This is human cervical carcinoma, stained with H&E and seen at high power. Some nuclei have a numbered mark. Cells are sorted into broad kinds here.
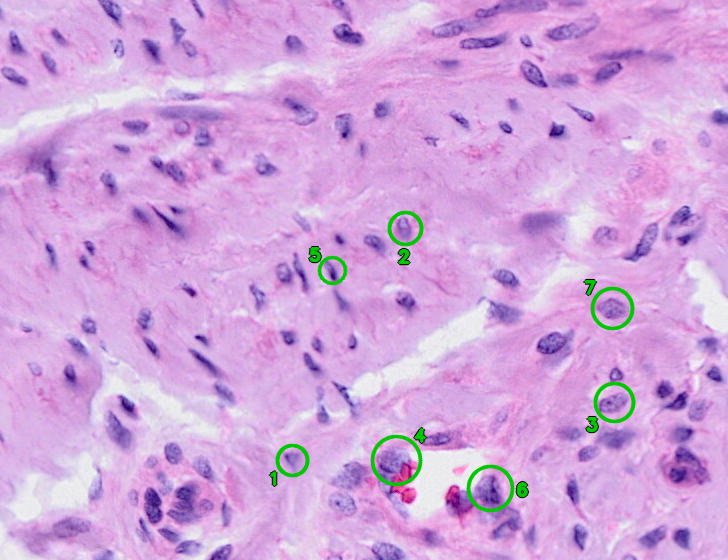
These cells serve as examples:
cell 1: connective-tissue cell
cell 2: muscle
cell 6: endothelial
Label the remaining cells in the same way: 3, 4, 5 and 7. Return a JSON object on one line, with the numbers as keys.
{"3": "connective-tissue cell", "4": "endothelial", "5": "connective-tissue cell", "7": "connective-tissue cell"}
